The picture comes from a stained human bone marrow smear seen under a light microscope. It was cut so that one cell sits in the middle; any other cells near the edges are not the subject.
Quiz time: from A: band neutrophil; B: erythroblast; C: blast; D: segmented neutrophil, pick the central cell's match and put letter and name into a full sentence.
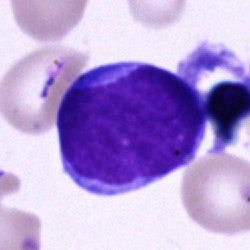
The best answer is option C, since the cell in the middle is a blast.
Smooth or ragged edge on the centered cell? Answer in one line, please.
Its periphery is smooth, and no projections arise from it.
